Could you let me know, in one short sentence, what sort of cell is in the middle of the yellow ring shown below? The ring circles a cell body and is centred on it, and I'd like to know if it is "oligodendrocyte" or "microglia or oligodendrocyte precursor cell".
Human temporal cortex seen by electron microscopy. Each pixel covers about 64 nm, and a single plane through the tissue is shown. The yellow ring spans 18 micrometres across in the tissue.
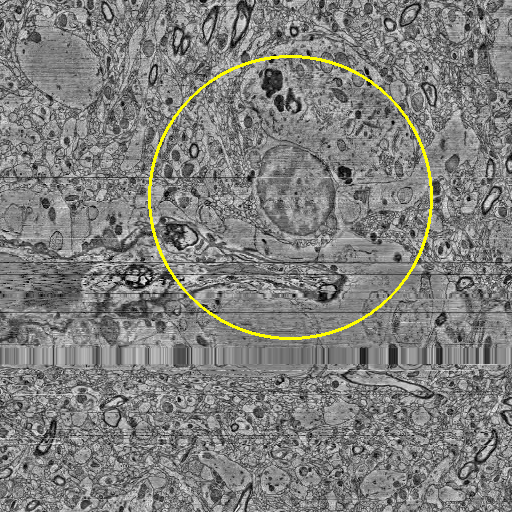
The ring circles the cell body of an oligodendrocyte.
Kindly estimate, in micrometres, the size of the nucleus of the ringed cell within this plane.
Roughly 6 by 5 micrometres is the size of the nucleus in this plane.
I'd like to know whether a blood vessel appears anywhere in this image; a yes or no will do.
Yes, one is visible.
